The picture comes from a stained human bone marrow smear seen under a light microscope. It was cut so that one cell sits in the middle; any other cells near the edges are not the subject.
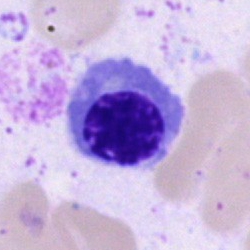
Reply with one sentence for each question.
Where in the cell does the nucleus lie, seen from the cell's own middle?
Toward the bottom of the cell lies its nucleus.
